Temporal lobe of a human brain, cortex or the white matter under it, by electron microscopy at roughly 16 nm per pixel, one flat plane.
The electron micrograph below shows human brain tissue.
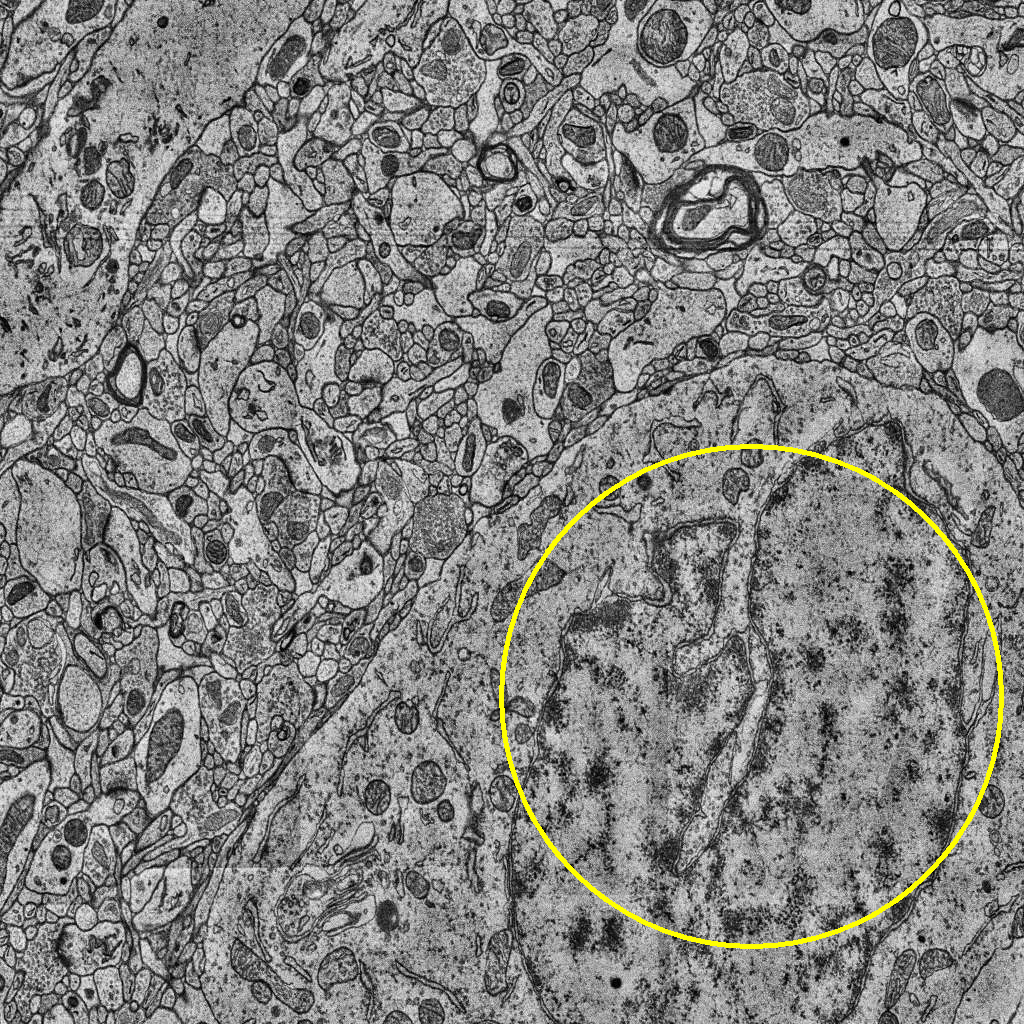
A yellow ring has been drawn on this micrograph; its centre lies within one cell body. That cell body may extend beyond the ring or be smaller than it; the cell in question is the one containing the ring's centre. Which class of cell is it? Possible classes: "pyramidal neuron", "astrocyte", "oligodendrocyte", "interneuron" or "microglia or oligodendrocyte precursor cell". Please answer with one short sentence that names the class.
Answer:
In the centre of the ring sits an interneuron.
